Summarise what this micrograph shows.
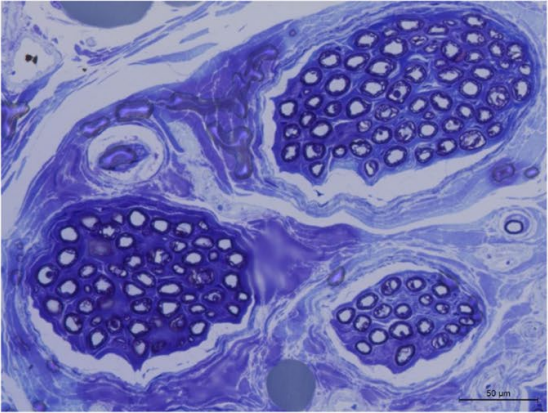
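Cross-section of nerve with three fascicles of myelinated axons. Each fascicle is an oval bundle packed with round profiles, each a pale unstained axon core encircled by a dark blue myelin ring; profiles vary in size, large and small intermixed, some with thicker rings than others. A few isolated small round profiles lie outside the main bundles.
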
